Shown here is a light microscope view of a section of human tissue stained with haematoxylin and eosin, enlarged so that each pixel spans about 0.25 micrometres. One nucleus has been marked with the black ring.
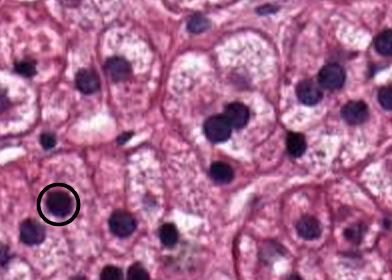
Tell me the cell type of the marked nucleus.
adrenal cortical cell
